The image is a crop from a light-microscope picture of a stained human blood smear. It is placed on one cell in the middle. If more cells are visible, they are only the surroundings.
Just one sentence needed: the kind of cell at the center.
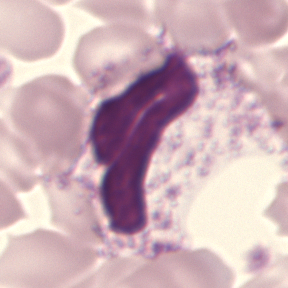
The centered cell in this crop is a segmented neutrophil.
